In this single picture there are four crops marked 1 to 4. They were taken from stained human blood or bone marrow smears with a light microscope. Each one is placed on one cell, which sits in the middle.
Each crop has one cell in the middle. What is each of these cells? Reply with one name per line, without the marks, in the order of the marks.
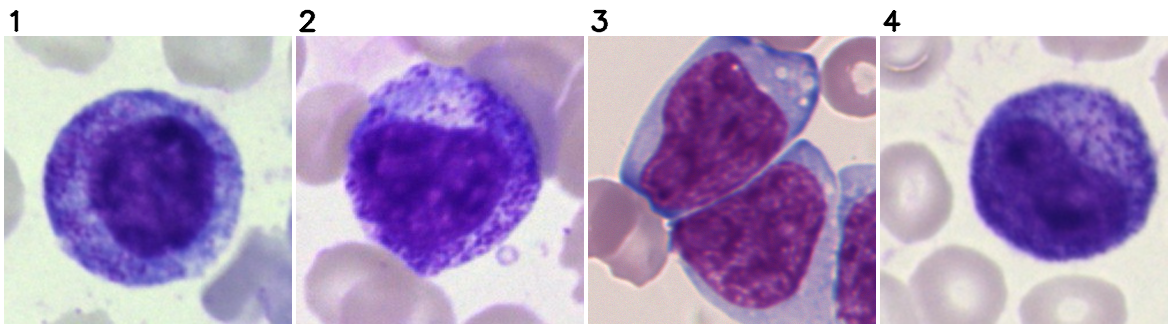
promyelocyte
promyelocyte
blast
promyelocyte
